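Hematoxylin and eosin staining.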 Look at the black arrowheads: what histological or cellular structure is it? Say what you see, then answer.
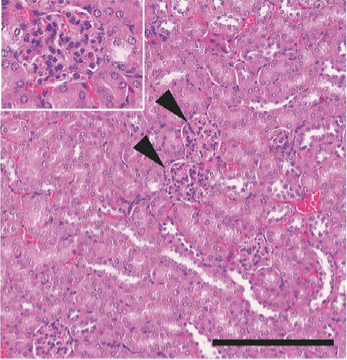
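Round, compact, nucleus-rich tufts lie among the tubules. The tufts are surrounded by pink-staining tubular cross-sections. That points to this answer: corpuscles.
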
